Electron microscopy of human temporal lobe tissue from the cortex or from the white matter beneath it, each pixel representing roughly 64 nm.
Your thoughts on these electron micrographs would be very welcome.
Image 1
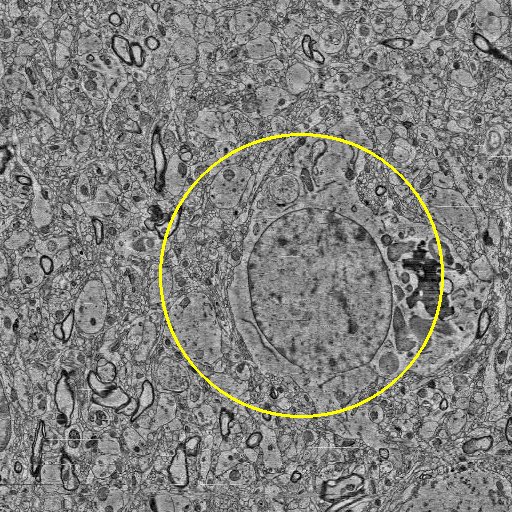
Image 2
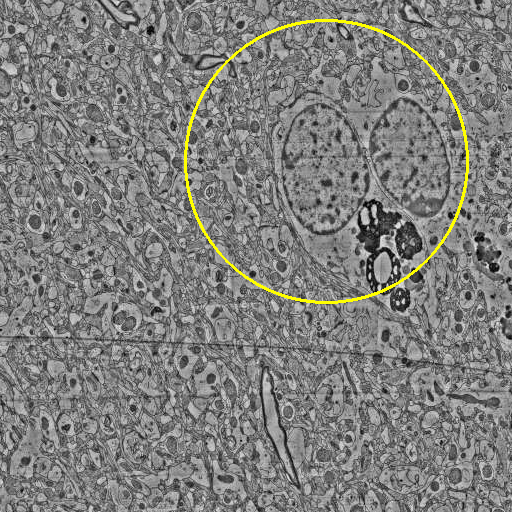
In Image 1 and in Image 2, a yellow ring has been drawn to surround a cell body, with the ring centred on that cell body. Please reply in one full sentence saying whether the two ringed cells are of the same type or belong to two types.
The ringed cells in Image 1 and Image 2 are of the same type.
